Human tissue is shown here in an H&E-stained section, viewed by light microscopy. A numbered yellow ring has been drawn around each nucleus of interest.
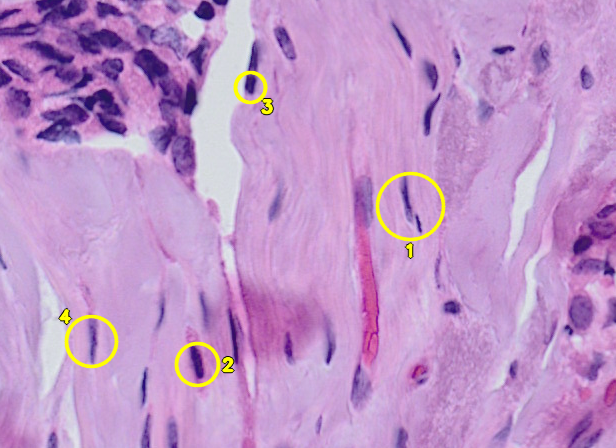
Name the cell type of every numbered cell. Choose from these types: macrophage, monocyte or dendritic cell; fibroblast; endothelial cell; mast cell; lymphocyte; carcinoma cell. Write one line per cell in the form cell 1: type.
cell 1: fibroblast
cell 2: mast cell
cell 3: lymphocyte
cell 4: fibroblast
